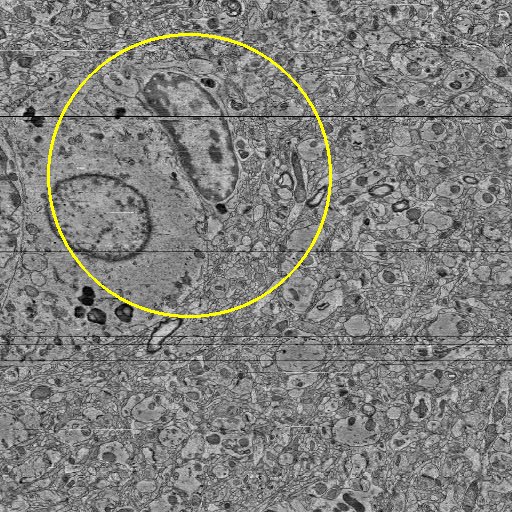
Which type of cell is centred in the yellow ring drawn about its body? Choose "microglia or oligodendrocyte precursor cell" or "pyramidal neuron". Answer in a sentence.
The yellow ring surrounds the cell body of a microglial cell or oligodendrocyte precursor cell.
